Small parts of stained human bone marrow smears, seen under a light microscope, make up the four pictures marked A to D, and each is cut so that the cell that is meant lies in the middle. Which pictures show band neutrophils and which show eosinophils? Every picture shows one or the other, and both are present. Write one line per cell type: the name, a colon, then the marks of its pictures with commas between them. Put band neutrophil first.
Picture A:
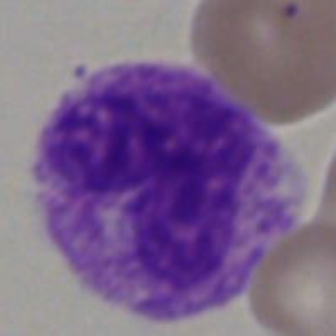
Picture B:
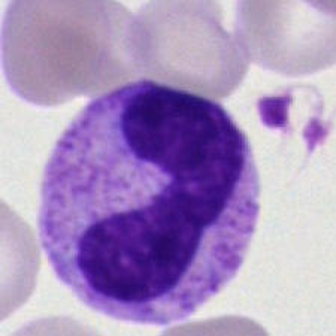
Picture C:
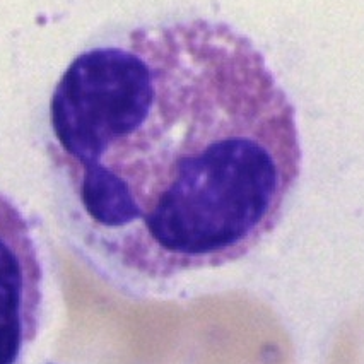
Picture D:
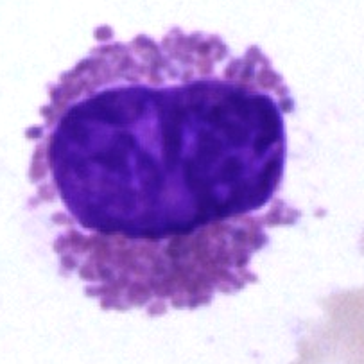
band neutrophil: A, B
eosinophil: C, D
